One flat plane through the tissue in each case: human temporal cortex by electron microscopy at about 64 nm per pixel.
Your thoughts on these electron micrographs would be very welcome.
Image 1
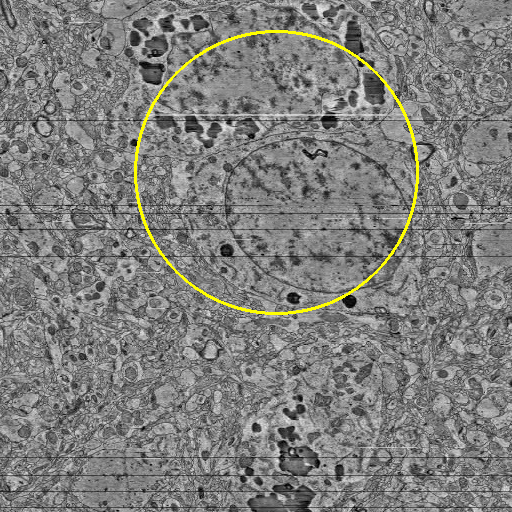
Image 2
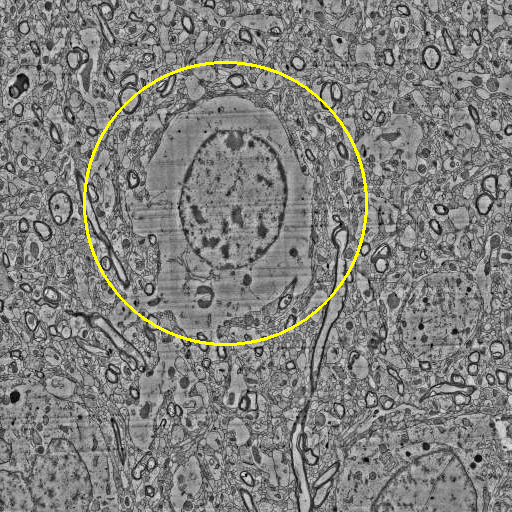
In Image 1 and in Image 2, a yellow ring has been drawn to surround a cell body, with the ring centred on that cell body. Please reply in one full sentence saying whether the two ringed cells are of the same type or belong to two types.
The ringed cells in Image 1 and Image 2 belong to two types.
